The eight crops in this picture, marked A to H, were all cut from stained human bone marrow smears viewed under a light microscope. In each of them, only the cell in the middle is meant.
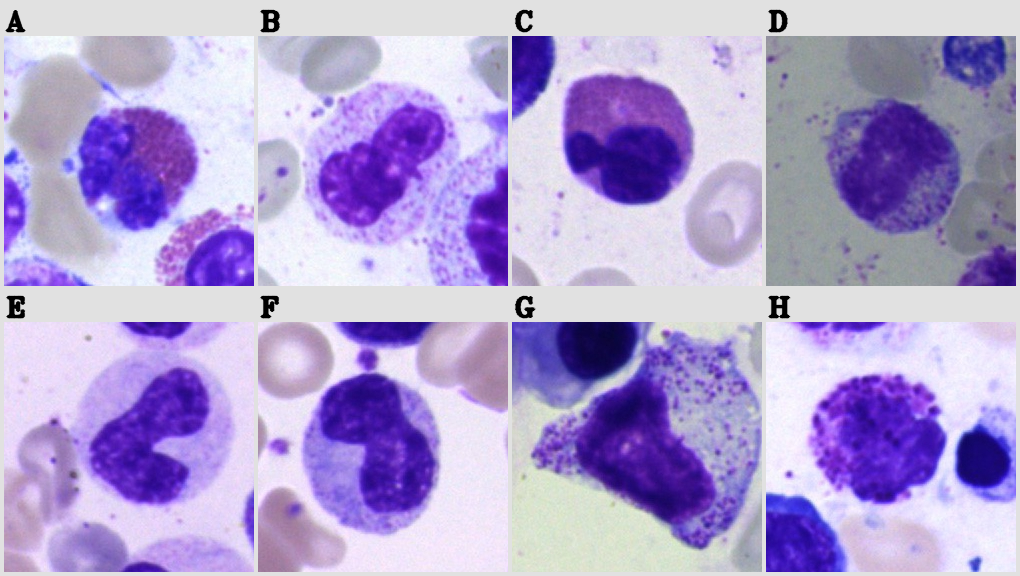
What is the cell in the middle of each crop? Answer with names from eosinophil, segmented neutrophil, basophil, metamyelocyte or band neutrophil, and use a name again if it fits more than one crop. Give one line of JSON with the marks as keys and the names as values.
{"A": "eosinophil", "B": "band neutrophil", "C": "eosinophil", "D": "metamyelocyte", "E": "band neutrophil", "F": "metamyelocyte", "G": "metamyelocyte", "H": "basophil"}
